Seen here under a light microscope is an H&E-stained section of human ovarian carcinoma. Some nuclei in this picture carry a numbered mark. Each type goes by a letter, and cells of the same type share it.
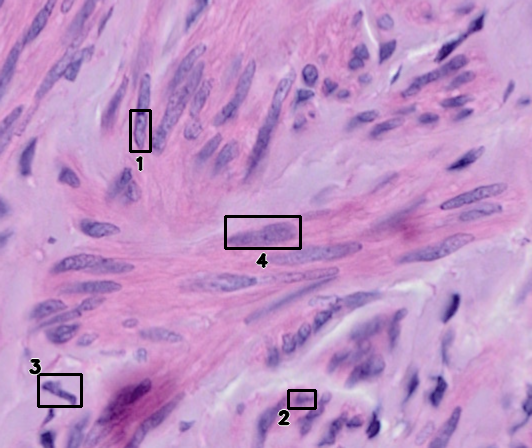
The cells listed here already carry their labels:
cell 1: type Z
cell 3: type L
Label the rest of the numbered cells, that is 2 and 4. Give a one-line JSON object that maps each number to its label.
{"2": "type Z", "4": "type Z"}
